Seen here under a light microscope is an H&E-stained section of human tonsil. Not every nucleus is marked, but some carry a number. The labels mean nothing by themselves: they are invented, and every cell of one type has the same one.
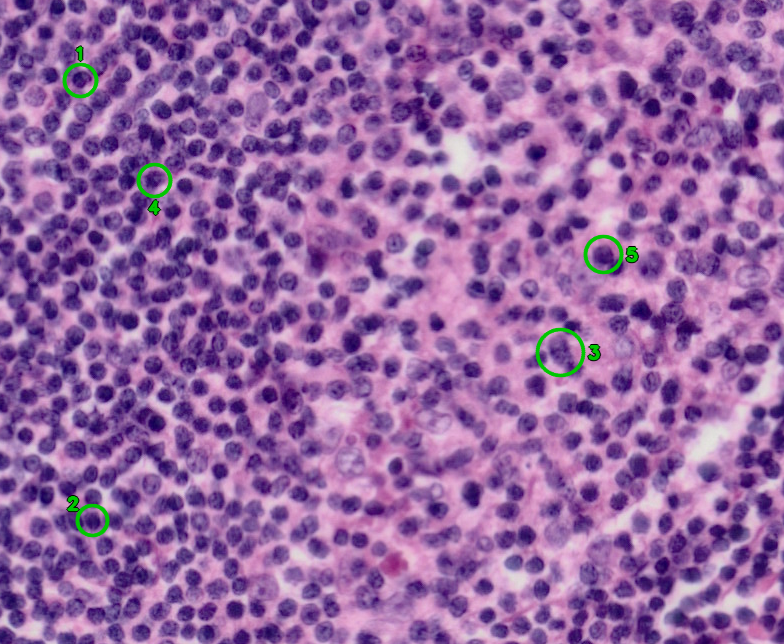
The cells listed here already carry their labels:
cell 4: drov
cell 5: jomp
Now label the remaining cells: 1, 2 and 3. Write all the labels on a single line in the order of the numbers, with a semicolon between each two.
drov; drov; jomp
